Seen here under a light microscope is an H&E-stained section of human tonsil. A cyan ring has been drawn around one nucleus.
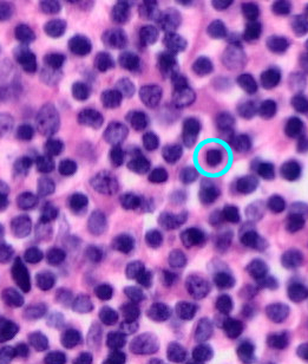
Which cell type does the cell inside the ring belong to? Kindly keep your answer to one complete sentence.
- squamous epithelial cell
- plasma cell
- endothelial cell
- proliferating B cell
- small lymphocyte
In terms of identity, the cell inside the ring is a small lymphocyte.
